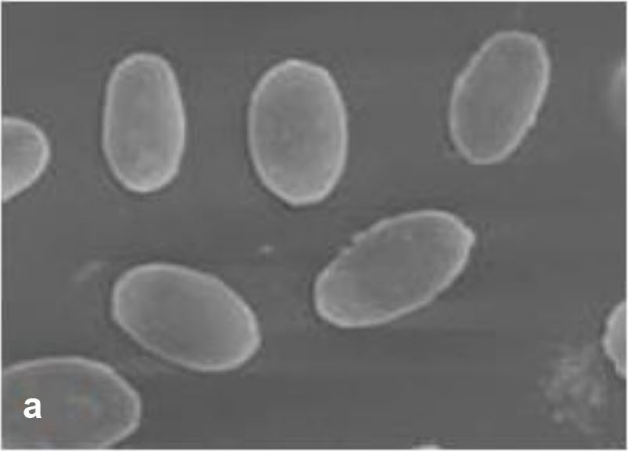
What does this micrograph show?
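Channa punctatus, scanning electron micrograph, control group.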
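The cells are elliptical discs of fairly uniform size and shape. Their surfaces are smooth, with a slightly raised, even rim around the margin. The cells lie apart from one another without fusion.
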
